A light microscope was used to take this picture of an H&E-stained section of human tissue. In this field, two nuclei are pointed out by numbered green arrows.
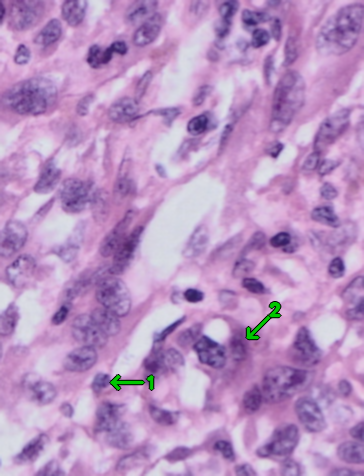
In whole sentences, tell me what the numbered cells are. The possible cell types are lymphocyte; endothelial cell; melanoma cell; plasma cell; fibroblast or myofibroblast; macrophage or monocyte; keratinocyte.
Cell 1 is a lymphocyte. Cell 2 is a melanoma cell.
